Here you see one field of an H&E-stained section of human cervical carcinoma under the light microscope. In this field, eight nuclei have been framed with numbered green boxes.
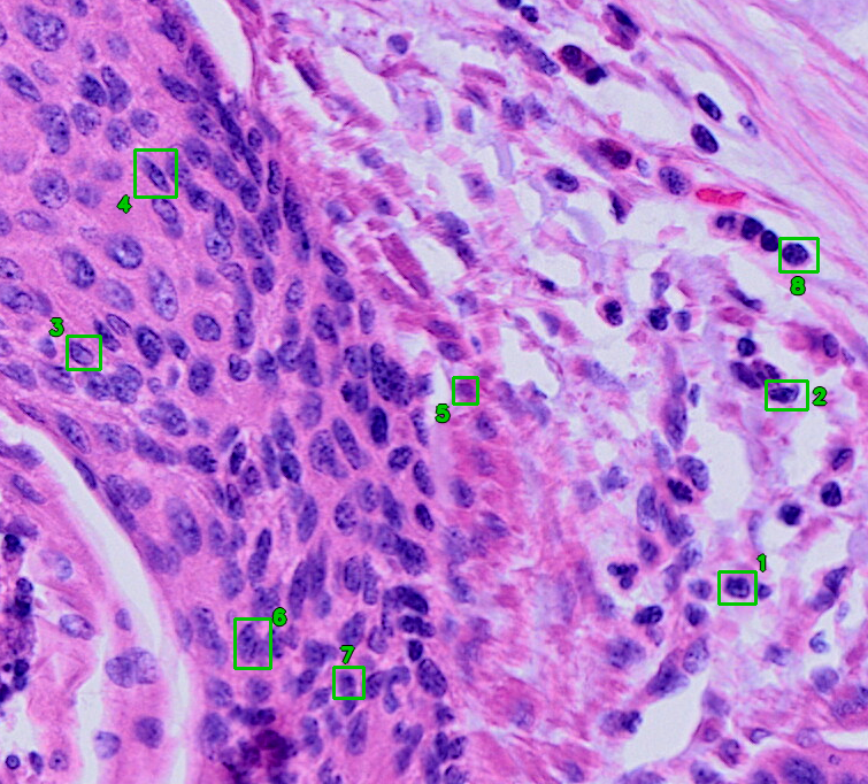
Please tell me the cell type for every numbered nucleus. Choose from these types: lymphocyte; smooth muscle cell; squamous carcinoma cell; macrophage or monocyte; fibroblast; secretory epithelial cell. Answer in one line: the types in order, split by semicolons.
lymphocyte; lymphocyte; squamous carcinoma cell; squamous carcinoma cell; fibroblast; squamous carcinoma cell; squamous carcinoma cell; lymphocyte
